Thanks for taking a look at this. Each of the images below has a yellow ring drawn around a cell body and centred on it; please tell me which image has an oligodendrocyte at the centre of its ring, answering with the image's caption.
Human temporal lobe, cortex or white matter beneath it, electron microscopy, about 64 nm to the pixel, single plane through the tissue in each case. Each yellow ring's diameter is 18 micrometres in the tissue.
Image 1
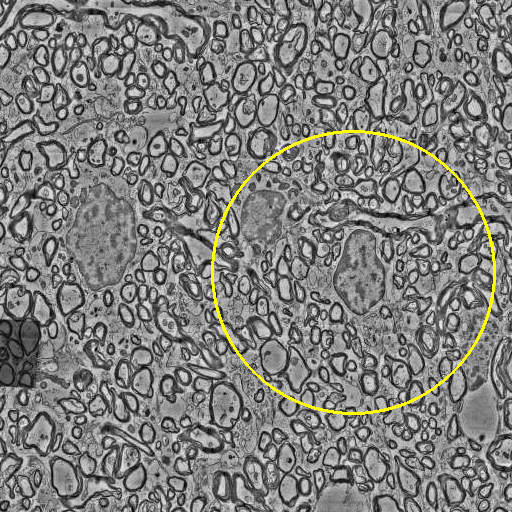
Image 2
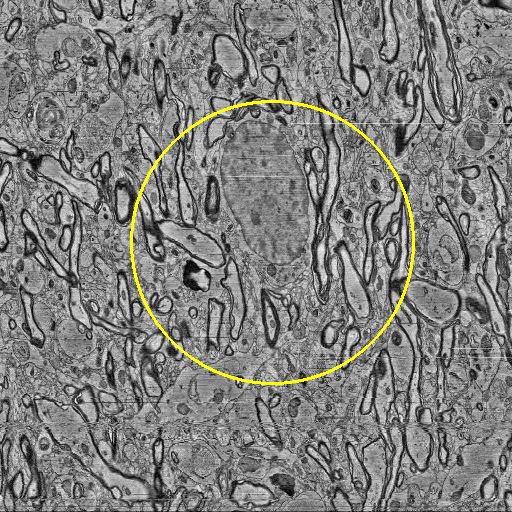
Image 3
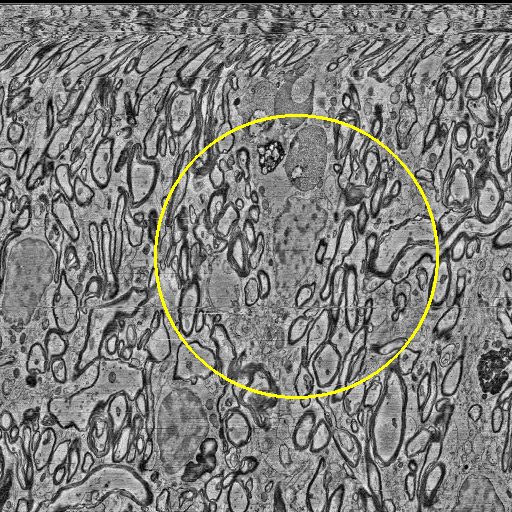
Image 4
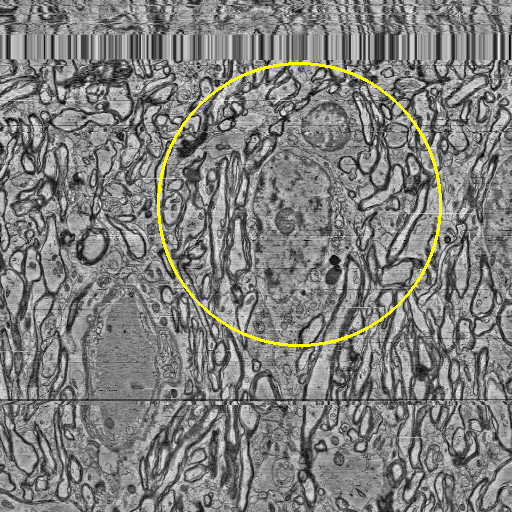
Image 2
